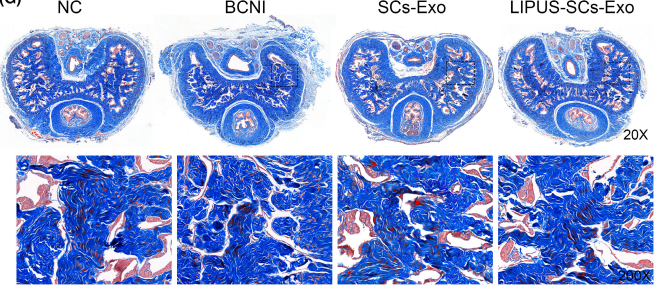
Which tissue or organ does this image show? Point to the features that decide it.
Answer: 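Low-power cross sections show a paired, heart-shaped erectile body with many irregular spaces. Enlarged fields show blue fibrous trabeculae with red strands around open spaces.
Answer: Corpus cavernosum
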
